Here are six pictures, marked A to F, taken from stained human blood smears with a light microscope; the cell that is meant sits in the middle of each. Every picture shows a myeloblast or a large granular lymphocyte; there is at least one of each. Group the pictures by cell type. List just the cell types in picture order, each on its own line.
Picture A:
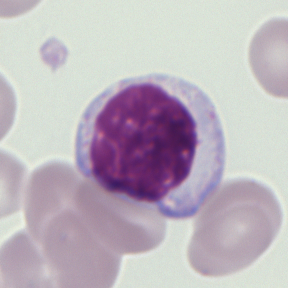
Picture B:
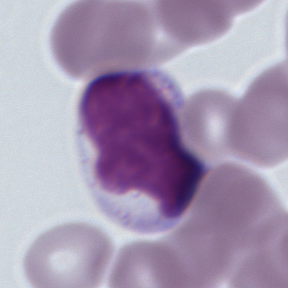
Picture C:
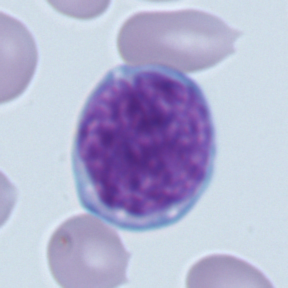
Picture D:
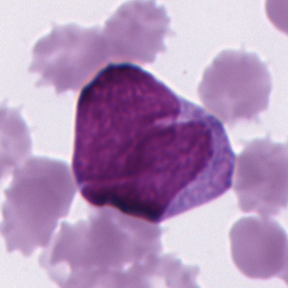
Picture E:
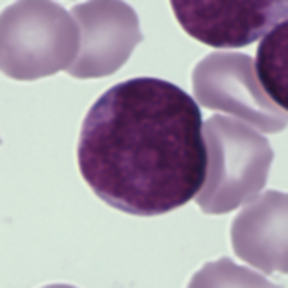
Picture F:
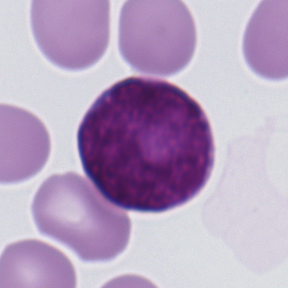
large granular lymphocyte
large granular lymphocyte
myeloblast
myeloblast
myeloblast
myeloblast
